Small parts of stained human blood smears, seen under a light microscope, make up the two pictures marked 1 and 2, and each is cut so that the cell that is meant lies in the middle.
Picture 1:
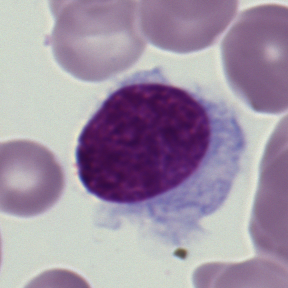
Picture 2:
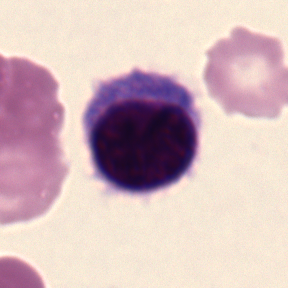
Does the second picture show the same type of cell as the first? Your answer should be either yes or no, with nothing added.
yes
